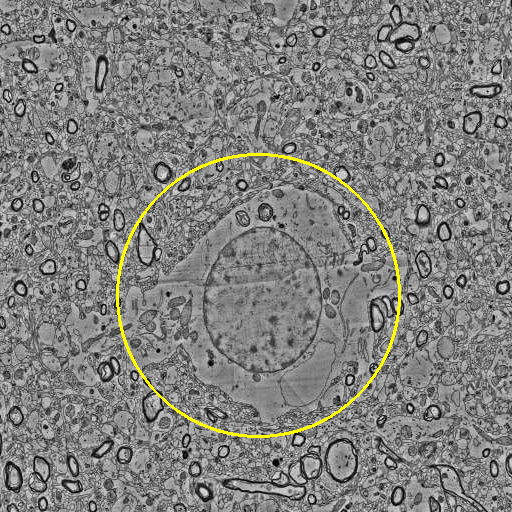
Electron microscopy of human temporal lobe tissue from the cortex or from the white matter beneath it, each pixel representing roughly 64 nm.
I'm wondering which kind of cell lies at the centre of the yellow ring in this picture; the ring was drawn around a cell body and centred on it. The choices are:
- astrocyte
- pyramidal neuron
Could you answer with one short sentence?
At the centre of the ring lies an astrocyte.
